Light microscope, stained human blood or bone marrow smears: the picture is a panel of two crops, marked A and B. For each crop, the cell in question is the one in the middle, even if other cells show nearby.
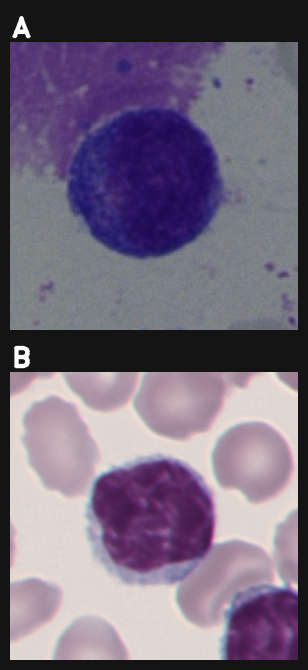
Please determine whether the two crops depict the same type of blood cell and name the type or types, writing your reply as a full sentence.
No, crop A shows a blast and crop B a lymphocyte.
